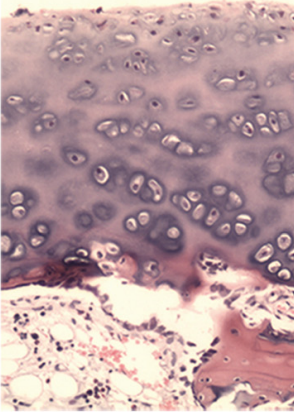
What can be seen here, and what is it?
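This is articular cartilage, with chondrocytes lying in clear spaces within a purple matrix. Near the surface the cells are small and flattened, while deeper down they are larger and rounded. Many of the deeper cells are gathered into groups of two to four in a shared space, each group ringed by darker purple matrix. The matrix between the groups is paler and patchy in colour. Below the cartilage lies pink bone with marrow holding fat cells and small round cells.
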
